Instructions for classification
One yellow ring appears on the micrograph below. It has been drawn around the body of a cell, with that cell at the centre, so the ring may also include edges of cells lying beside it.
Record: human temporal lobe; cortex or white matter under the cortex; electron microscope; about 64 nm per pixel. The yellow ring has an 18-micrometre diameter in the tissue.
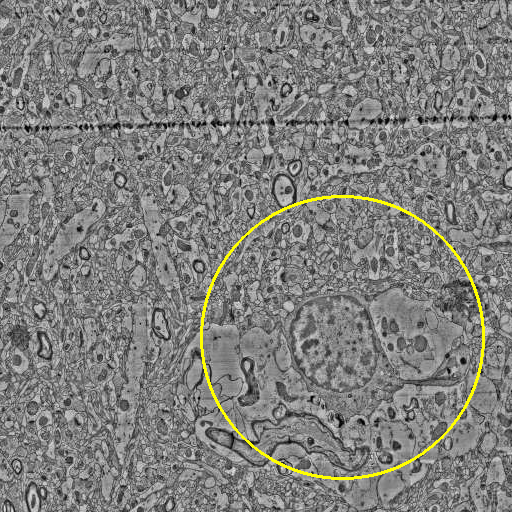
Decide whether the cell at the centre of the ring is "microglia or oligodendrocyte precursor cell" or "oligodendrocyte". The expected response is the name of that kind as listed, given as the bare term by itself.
oligodendrocyte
